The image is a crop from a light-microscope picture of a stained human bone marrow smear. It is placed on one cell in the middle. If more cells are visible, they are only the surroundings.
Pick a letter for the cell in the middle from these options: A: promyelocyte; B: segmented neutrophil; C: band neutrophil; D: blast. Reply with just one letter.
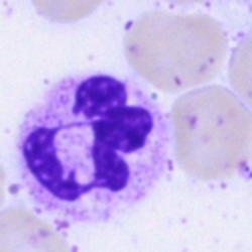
B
